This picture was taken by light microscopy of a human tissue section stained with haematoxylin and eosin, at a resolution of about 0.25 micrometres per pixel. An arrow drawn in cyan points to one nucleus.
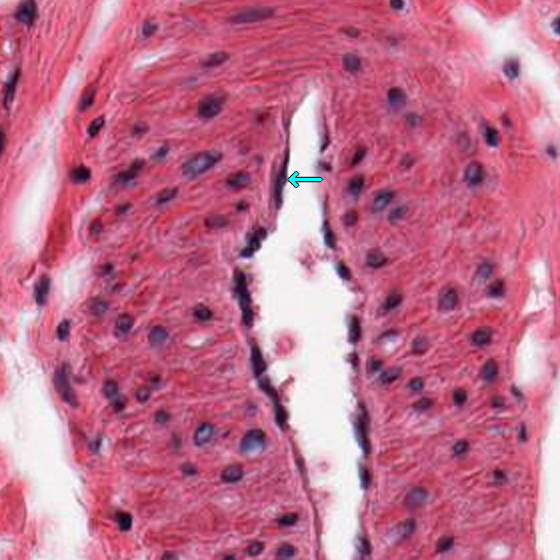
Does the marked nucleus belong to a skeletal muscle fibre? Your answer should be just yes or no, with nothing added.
no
